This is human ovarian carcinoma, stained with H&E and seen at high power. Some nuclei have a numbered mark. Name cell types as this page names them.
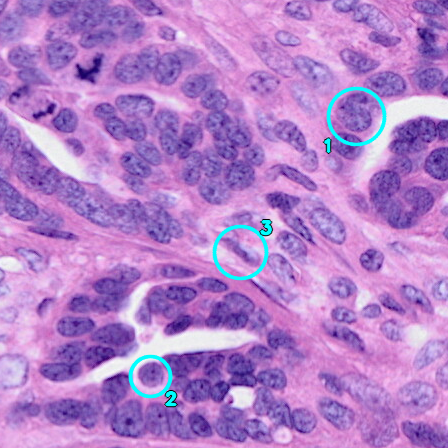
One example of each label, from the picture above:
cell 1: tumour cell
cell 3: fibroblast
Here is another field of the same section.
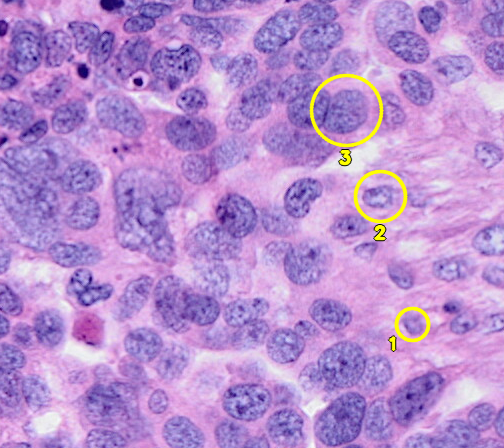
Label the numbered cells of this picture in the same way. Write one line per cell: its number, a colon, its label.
1: fibroblast
2: fibroblast
3: tumour cell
